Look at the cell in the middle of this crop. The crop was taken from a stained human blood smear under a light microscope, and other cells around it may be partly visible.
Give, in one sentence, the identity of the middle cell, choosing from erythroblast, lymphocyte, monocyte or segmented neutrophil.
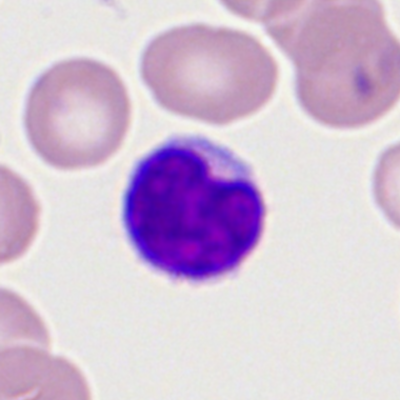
What the crop centres on is a lymphocyte.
